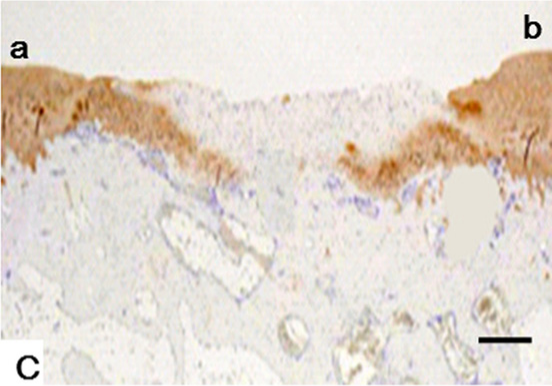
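This low-power section crosses a defect in the joint surface. Brown-stained cartilage lies only at the two edges of the surface. Between them, the surface dips and the gap is filled with pale, largely unstained tissue scattered with small blue nuclei. Beneath lies pale trabecular tissue with open, rounded spaces of different sizes.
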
